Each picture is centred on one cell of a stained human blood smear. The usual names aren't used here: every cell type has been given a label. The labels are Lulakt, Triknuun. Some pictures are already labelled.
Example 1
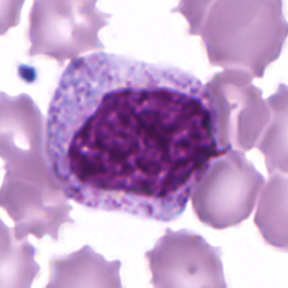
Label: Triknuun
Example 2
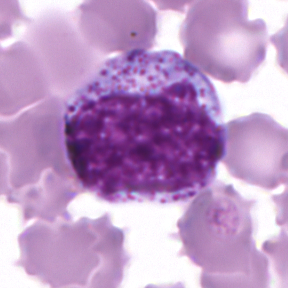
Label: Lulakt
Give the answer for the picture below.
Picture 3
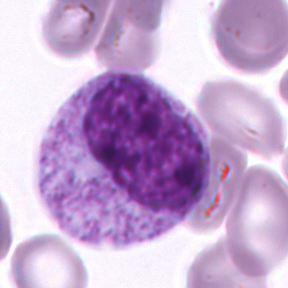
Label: Lulakt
